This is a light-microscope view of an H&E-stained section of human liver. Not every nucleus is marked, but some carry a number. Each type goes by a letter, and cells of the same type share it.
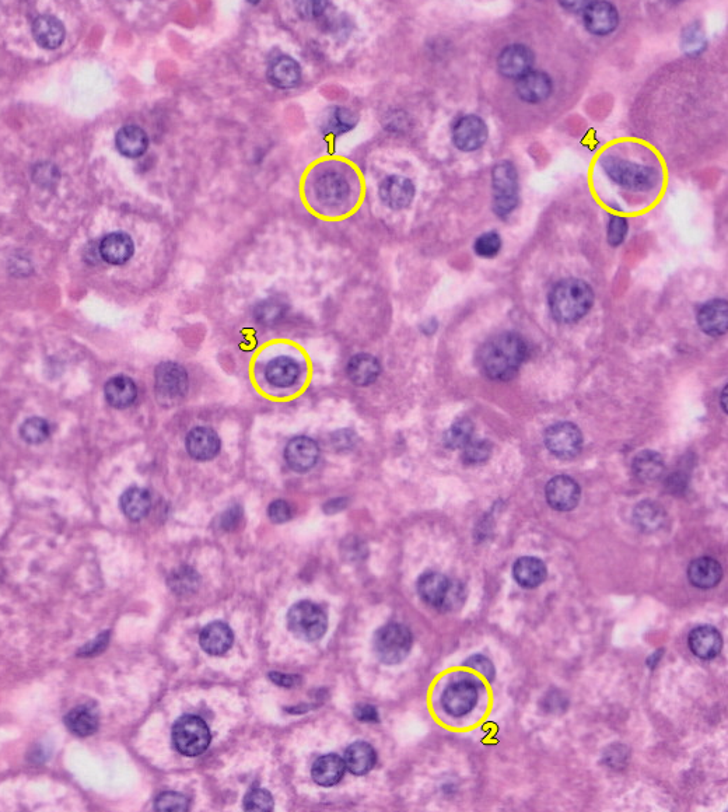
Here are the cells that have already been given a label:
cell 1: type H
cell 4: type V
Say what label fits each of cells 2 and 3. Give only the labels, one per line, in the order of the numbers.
type H
type H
